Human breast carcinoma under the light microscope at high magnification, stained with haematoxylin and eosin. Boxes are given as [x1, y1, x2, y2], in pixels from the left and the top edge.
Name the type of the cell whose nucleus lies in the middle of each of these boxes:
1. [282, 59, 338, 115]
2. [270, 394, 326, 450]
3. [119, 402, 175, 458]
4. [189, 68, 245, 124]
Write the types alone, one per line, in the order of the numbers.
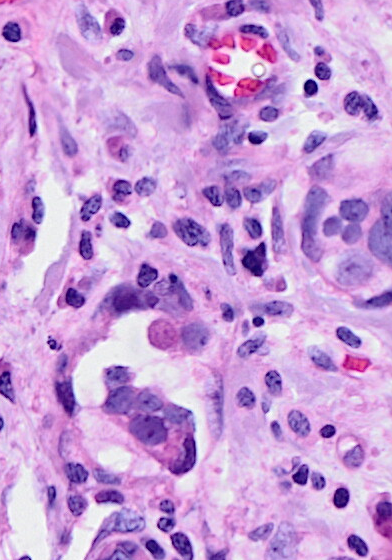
lymphocyte
mast cell
carcinoma cell
endothelial cell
